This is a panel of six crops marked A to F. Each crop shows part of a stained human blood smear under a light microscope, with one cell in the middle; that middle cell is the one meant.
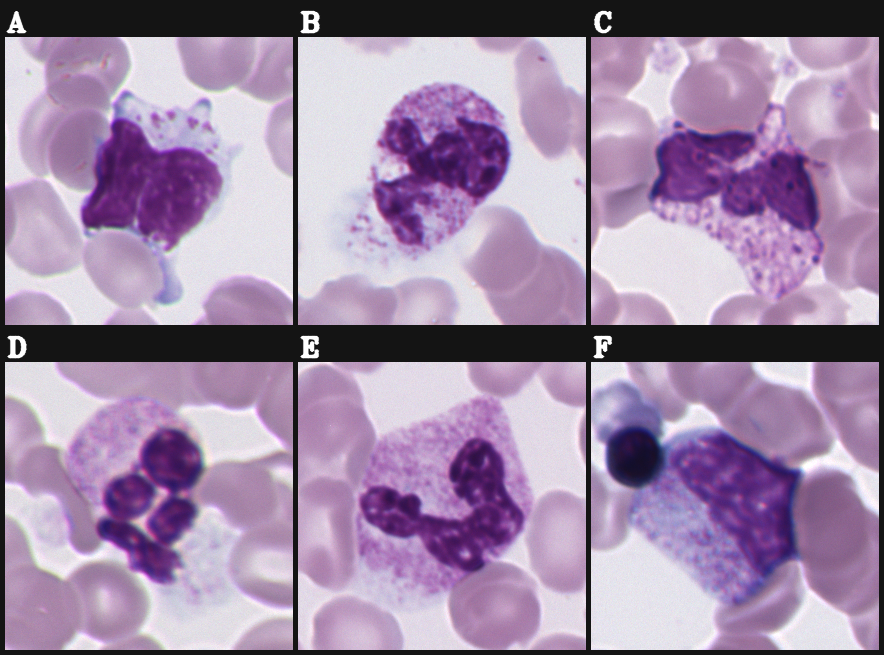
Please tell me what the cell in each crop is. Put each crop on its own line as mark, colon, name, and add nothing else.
A: large granular lymphocyte
B: neutrophil
C: basophil
D: neutrophil
E: neutrophil
F: promyelocyte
